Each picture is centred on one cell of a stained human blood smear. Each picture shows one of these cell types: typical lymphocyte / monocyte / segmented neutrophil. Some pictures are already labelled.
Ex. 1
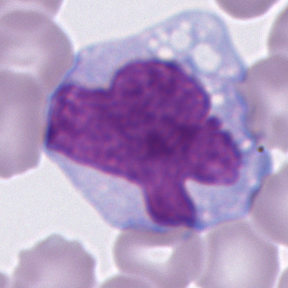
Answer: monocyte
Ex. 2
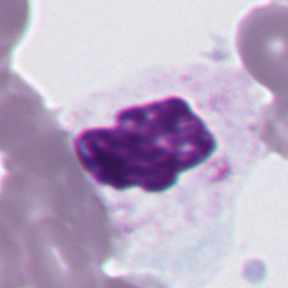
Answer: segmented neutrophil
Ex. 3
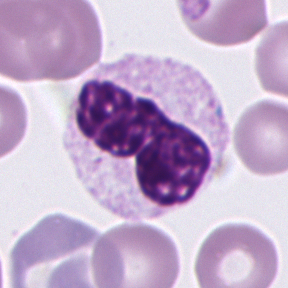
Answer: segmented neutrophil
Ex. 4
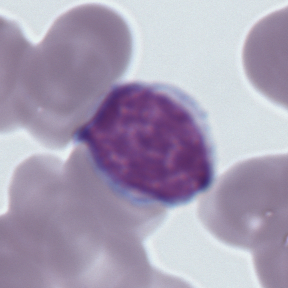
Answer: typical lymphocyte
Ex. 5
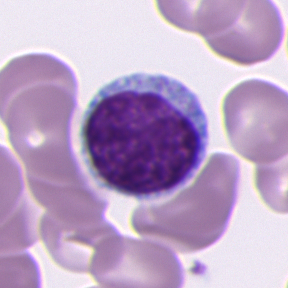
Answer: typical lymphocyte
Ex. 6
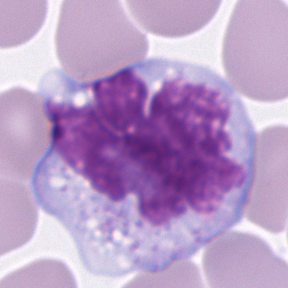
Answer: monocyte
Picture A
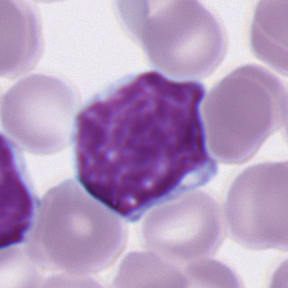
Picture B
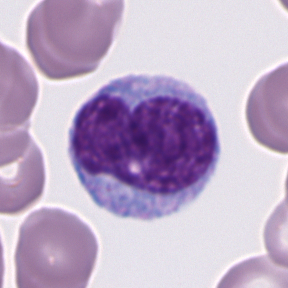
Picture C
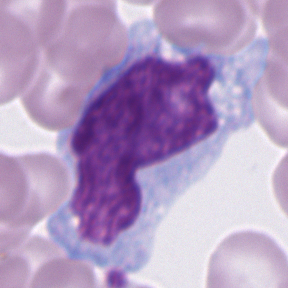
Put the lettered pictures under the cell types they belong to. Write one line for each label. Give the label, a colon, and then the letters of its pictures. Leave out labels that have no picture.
typical lymphocyte: A
monocyte: B, C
